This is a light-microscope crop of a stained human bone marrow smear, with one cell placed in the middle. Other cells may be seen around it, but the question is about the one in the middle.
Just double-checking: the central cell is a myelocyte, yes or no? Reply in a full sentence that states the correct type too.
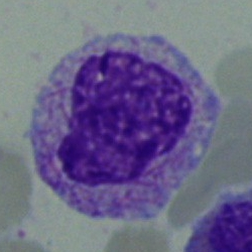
Yes, the middle of the crop is occupied by a myelocyte.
